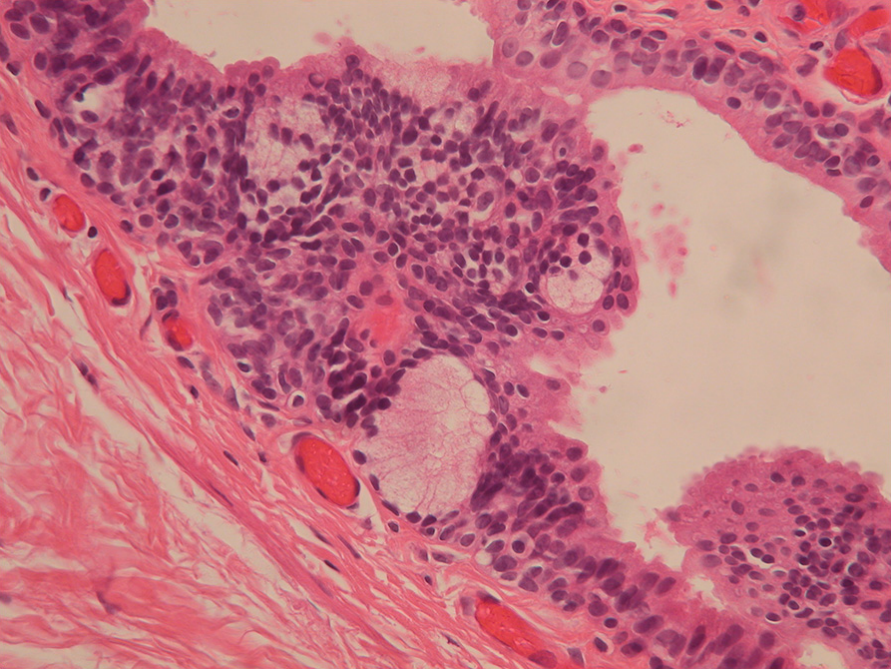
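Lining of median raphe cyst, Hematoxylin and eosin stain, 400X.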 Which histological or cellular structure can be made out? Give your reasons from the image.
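Intraepithelial glandular structure. Rounded clusters of cells with pale, foamy, bubbly cytoplasm sit within the thickness of the lining epithelium. These pale clusters are ringed by darker, crowded epithelial nuclei. The epithelium faces an open empty space on one side and fibrous pink tissue on the other.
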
